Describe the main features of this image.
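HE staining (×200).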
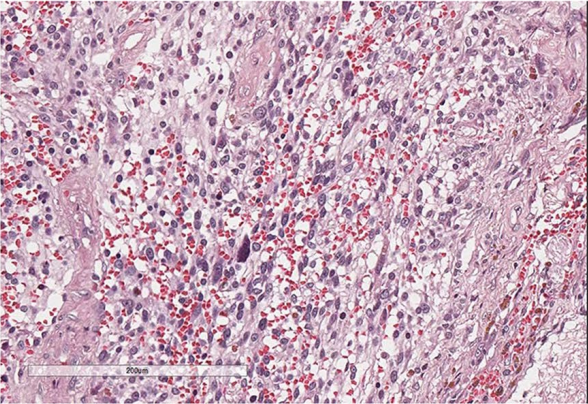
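A densely cellular tissue is crowded with tumour cells whose oval to elongated, dark purple nuclei vary in size and shape, and one cell carries a much larger, very dark nucleus. Many bright red blood cells lie scattered between the tumour cells, and pale pink fibrous or vessel-like strands run through the field.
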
